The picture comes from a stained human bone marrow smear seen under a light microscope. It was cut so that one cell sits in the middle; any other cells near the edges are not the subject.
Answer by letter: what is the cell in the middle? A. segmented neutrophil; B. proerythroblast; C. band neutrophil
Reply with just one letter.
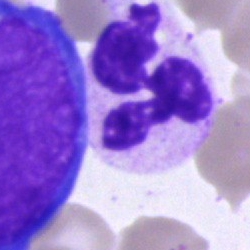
A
